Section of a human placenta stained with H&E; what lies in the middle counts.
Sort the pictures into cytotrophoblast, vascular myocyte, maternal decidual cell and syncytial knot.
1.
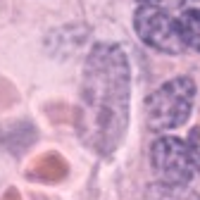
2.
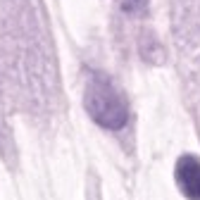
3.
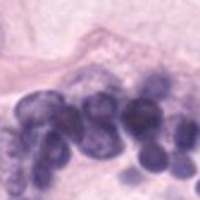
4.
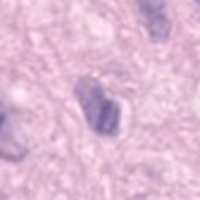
Cytotrophoblasts: 1
Maternal decidual cells: 2
Syncytial knots: 3
Vascular myocytes: 4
